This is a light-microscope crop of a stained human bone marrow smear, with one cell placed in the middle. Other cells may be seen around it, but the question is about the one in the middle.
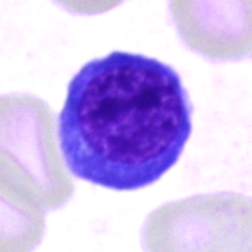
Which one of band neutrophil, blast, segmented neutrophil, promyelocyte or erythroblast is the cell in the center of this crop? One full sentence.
The centered cell in this crop is an erythroblast.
